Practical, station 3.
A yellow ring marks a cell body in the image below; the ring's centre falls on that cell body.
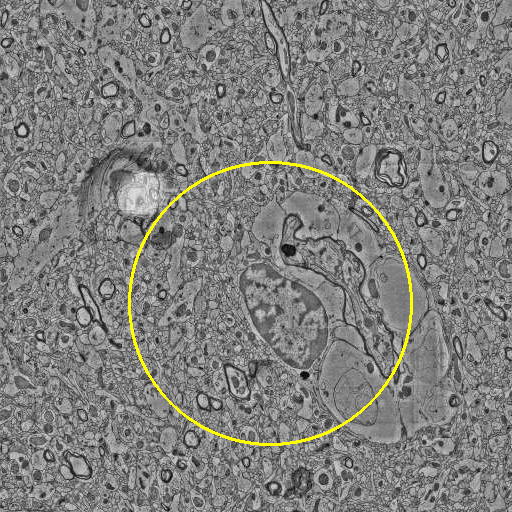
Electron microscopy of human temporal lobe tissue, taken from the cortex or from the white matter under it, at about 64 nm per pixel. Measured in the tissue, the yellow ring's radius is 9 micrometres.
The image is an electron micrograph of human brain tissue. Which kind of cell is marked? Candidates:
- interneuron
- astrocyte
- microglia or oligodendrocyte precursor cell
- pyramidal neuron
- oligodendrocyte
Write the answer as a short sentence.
The marked cell body is that of a microglial cell or oligodendrocyte precursor cell.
